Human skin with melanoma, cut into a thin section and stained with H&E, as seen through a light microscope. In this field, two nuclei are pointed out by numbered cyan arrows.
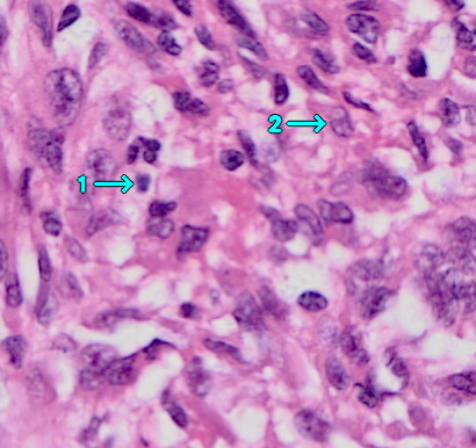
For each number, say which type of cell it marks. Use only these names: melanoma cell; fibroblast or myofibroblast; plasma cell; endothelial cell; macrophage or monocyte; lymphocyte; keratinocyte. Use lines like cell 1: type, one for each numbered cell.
cell 1: lymphocyte
cell 2: melanoma cell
